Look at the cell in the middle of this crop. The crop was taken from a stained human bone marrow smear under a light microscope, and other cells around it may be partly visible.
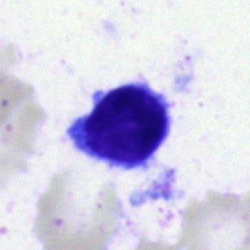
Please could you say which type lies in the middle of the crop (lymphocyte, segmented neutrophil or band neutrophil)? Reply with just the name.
lymphocyte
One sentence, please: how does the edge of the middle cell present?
The outer contour of the cell is irregular, with ragged portions or projections along it.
